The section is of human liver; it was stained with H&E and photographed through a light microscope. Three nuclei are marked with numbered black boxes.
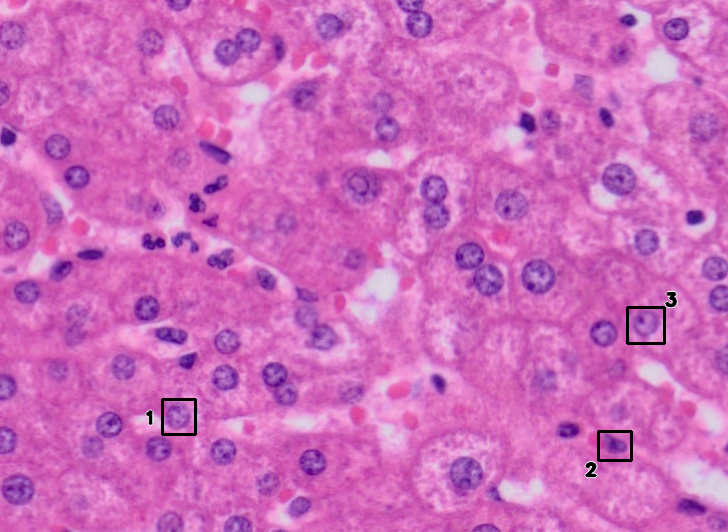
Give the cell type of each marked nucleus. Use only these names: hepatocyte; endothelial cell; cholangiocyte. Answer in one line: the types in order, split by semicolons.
hepatocyte; endothelial cell; hepatocyte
